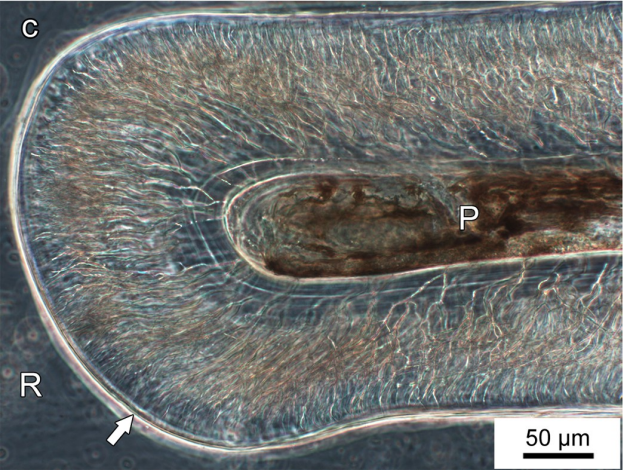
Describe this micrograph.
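A longitudinal section through a tooth tip shows a central, dark brown pulp cavity surrounded by a broad wall of dentin. Dense, fine, branching dentinal tubules run from the pulp toward the rounded outer surface and fill the central dentin. A thin bright band follows the outer surface, and no separate cap layer covers the tip.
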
